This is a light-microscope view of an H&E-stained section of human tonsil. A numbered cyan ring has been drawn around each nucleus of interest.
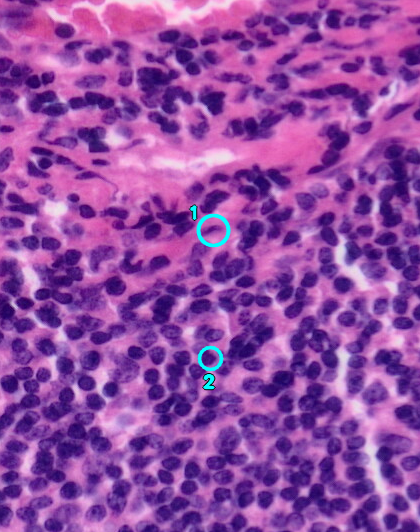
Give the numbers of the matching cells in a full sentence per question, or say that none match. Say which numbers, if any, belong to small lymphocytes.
Unlike the other numbered cells, cell 2 is a small lymphocyte.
